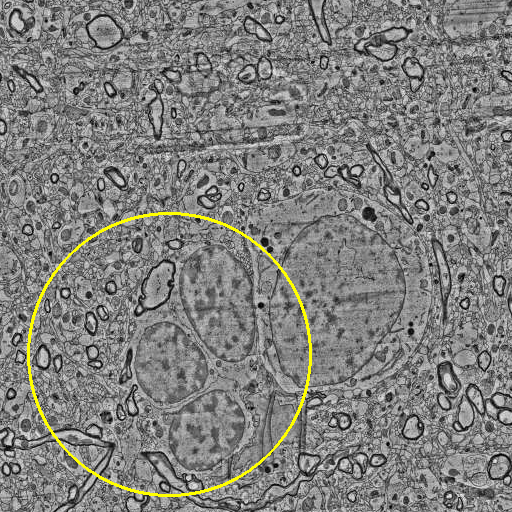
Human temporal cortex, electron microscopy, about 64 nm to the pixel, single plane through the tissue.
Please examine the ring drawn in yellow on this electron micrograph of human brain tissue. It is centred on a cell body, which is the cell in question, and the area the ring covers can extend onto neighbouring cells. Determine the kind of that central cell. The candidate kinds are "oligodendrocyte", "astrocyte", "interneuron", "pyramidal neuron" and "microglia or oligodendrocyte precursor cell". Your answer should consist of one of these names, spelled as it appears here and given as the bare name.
oligodendrocyte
